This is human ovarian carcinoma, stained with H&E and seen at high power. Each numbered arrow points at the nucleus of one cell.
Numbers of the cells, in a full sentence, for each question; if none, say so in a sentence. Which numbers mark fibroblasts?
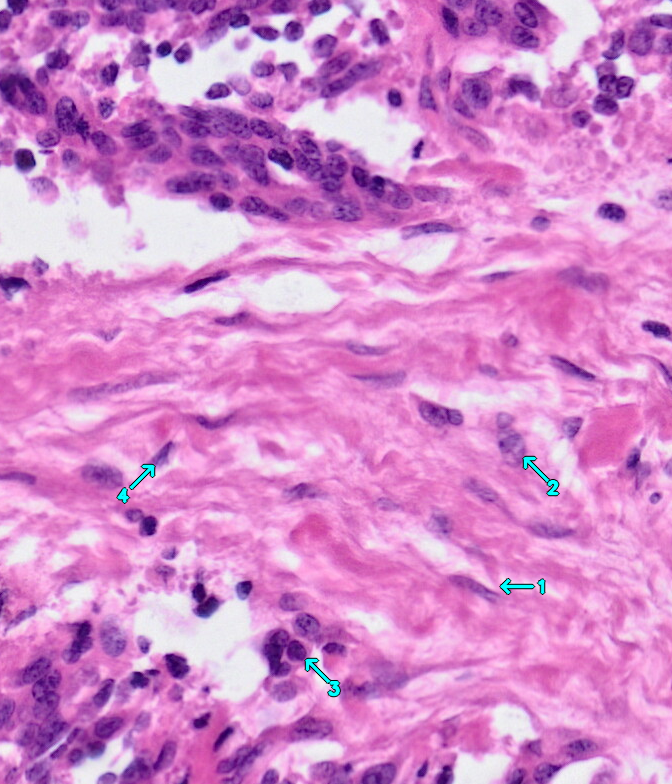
Classified as fibroblasts are the cells numbered 1, 2 and 4.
